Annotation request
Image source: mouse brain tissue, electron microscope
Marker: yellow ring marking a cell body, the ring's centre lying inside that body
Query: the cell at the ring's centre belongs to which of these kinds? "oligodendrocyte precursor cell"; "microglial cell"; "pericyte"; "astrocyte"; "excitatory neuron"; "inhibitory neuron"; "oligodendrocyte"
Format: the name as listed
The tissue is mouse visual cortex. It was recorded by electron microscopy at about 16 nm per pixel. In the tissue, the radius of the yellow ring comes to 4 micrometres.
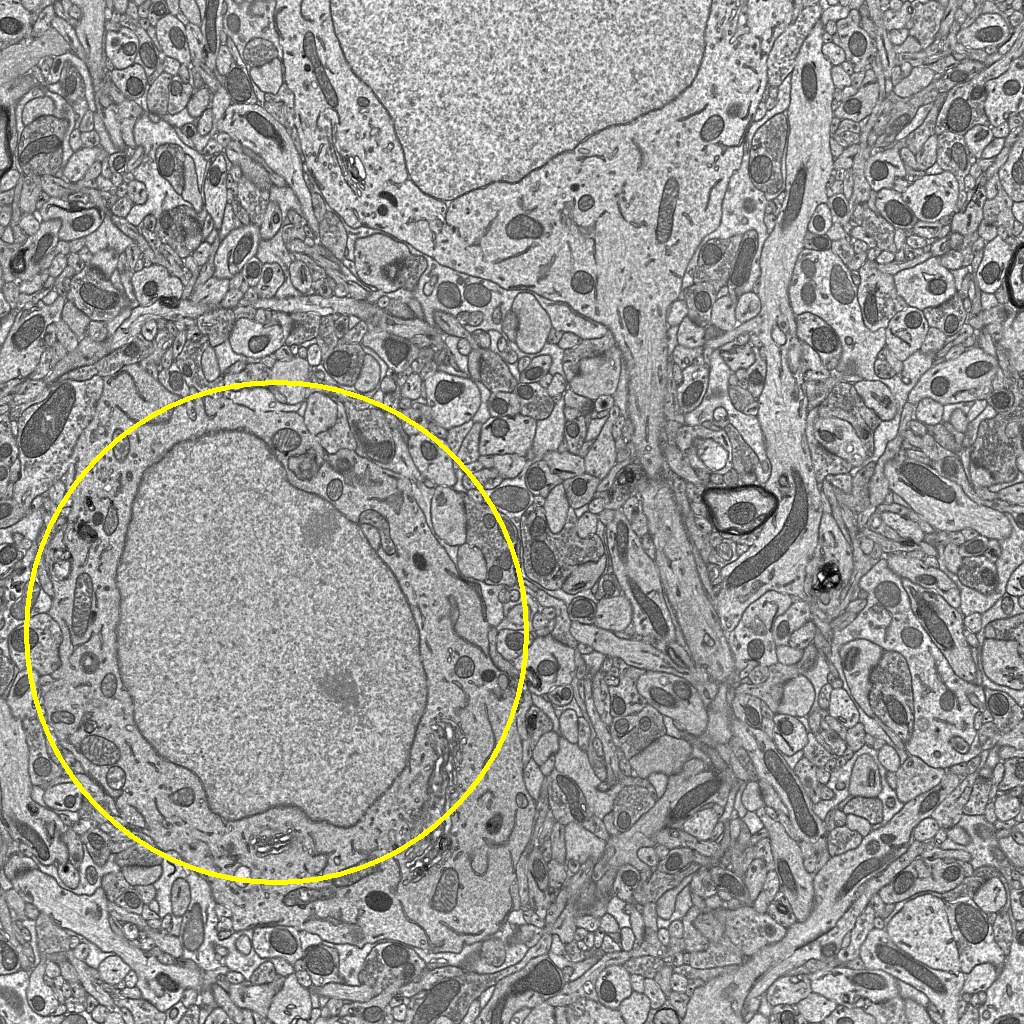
excitatory neuron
